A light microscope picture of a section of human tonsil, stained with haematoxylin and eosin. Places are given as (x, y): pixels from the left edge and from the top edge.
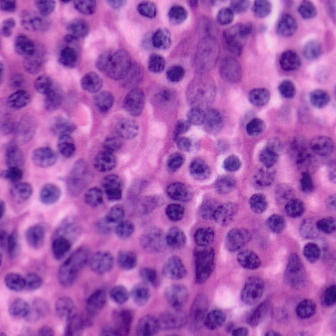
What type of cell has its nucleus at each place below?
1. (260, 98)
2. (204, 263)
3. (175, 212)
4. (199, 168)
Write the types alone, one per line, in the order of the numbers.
plasma cell
squamous epithelial cell
plasma cell
plasma cell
